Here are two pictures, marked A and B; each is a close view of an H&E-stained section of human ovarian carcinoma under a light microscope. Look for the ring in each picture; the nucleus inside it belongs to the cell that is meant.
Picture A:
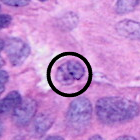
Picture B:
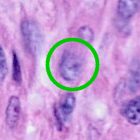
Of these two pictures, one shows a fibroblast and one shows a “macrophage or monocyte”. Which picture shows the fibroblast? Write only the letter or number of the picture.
B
